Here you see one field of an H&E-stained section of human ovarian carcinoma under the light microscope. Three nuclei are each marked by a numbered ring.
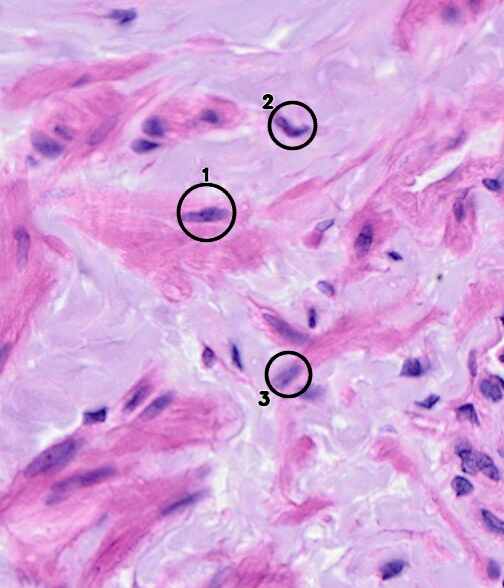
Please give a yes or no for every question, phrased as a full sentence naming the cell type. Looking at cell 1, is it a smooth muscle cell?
Yes, in this section the cell with number 1 is a smooth muscle cell.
